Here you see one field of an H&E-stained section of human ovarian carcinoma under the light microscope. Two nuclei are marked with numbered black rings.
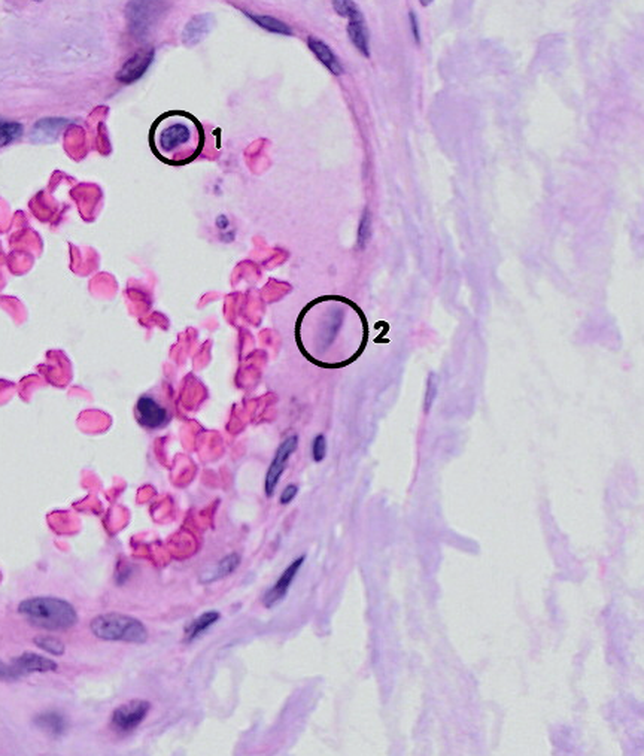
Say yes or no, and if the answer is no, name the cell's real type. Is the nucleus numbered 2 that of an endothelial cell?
Yes.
